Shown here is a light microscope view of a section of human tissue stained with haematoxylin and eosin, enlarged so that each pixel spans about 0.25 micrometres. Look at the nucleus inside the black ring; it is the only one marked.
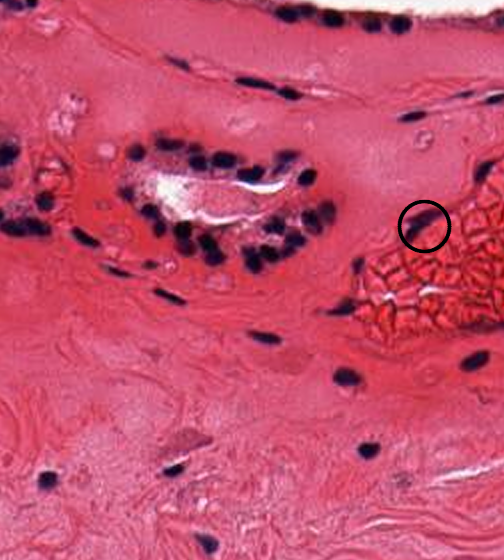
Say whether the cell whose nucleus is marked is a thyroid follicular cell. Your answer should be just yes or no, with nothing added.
no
